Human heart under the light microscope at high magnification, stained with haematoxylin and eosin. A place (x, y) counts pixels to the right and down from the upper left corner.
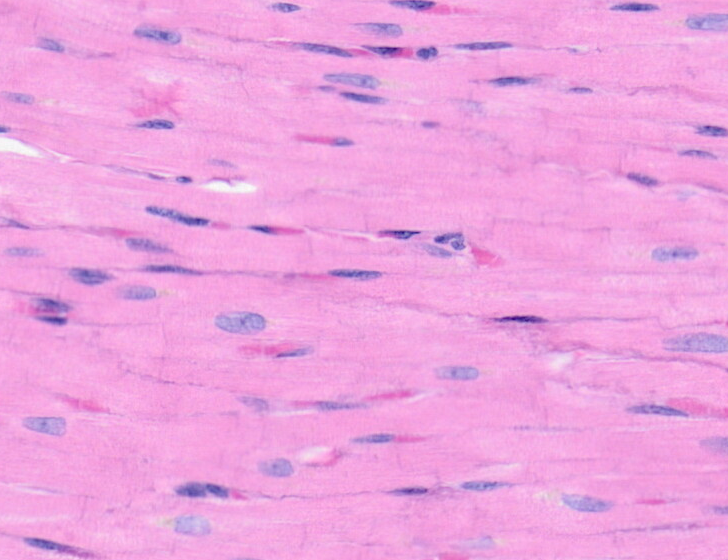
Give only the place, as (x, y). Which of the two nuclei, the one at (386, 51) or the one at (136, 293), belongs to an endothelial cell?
(386, 51)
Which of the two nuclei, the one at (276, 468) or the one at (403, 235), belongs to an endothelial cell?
(403, 235)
